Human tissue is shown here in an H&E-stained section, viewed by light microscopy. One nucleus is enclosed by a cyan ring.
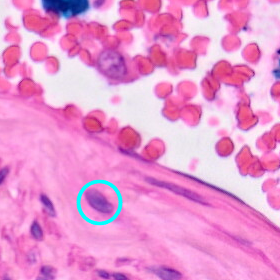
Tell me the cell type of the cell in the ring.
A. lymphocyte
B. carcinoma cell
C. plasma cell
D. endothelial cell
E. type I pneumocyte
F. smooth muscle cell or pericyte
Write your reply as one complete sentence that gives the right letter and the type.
That the cell in the ring is a smooth muscle cell or pericyte makes option F the correct choice.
